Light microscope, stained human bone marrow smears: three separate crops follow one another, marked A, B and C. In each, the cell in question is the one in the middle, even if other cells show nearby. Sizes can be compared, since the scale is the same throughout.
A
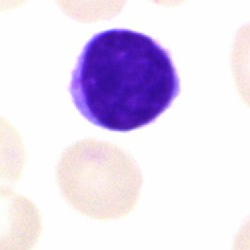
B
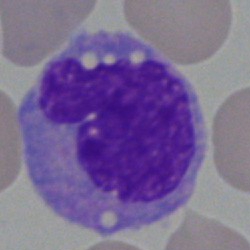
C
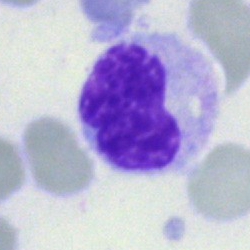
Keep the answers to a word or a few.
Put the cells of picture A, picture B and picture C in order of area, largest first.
B, C, A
